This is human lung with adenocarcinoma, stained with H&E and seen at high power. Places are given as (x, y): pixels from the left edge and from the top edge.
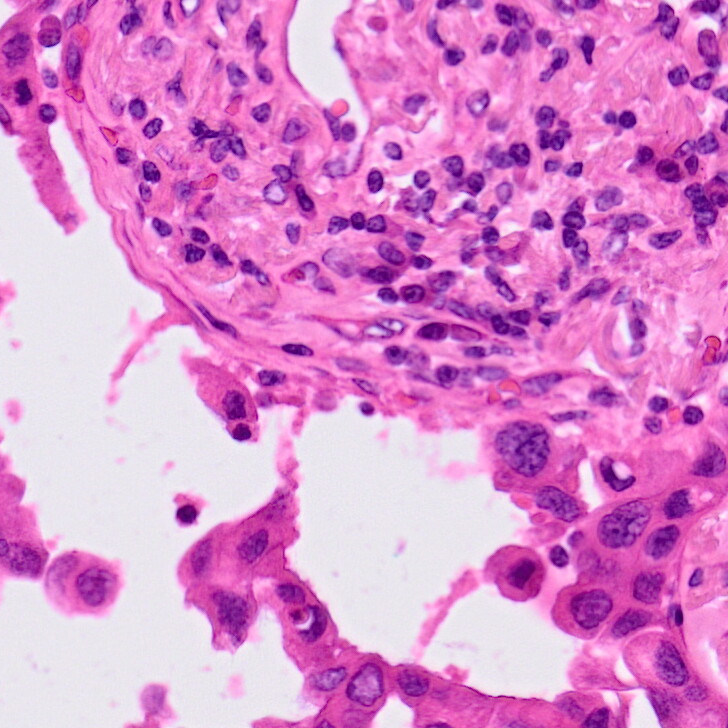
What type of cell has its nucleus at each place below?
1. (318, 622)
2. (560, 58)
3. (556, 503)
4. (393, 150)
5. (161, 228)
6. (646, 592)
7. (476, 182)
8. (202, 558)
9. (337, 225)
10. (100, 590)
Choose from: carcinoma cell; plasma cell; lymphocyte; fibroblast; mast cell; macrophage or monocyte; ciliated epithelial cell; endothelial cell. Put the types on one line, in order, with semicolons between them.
carcinoma cell; lymphocyte; carcinoma cell; lymphocyte; lymphocyte; carcinoma cell; plasma cell; carcinoma cell; lymphocyte; carcinoma cell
